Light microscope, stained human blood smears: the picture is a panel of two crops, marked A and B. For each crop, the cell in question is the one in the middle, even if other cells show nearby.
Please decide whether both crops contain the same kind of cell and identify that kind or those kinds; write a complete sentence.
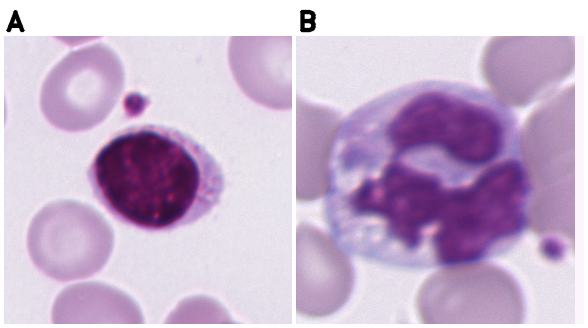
No, record crop A as a large granular lymphocyte and crop B as a monocyte.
